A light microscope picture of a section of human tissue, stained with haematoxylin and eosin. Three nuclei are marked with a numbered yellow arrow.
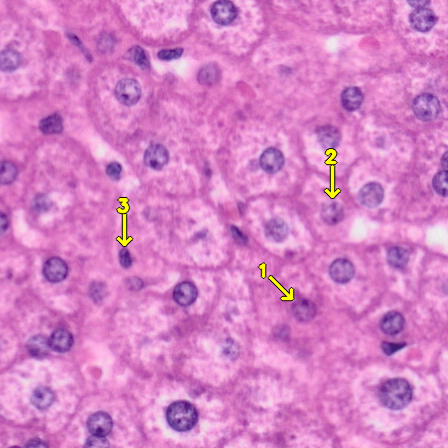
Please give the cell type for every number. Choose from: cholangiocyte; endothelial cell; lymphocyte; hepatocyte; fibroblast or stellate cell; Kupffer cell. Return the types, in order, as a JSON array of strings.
["hepatocyte", "hepatocyte", "lymphocyte"]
